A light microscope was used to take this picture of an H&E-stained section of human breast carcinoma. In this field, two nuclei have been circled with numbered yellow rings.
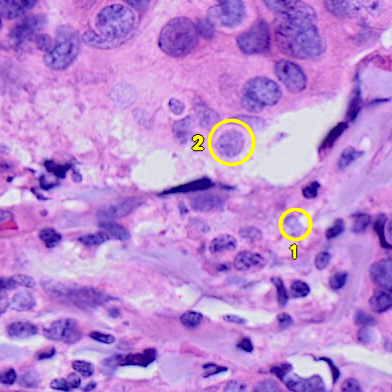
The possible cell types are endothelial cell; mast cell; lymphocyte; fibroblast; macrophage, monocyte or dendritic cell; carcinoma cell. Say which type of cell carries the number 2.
carcinoma cell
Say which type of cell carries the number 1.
macrophage, monocyte or dendritic cell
